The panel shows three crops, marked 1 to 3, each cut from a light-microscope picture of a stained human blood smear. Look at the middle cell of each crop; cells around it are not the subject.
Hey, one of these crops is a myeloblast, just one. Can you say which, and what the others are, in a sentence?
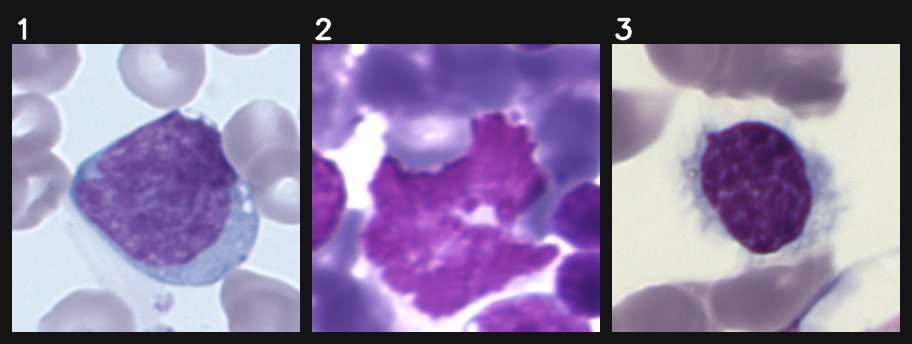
In short, crop 1 is a myeloblast, and crop 2 is a smudge cell and crop 3 is a hairy cell.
